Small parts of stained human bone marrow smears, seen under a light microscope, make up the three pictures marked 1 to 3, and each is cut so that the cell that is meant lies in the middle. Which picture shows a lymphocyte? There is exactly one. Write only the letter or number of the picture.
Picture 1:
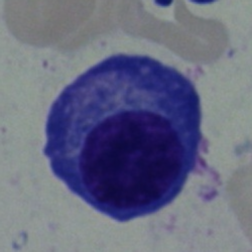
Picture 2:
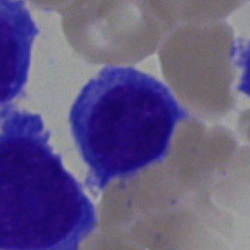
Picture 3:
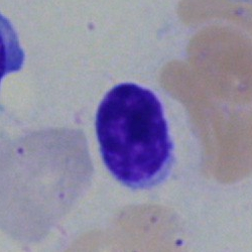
3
